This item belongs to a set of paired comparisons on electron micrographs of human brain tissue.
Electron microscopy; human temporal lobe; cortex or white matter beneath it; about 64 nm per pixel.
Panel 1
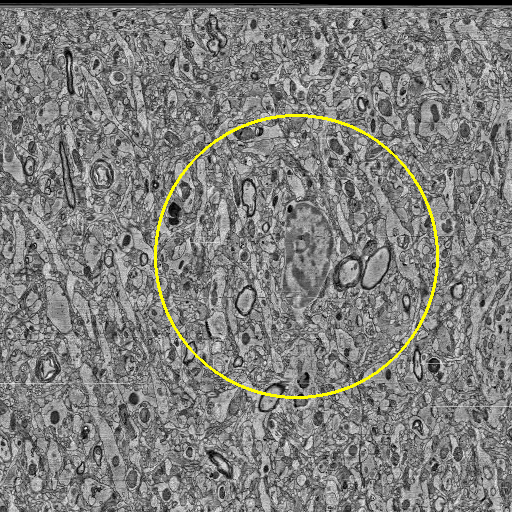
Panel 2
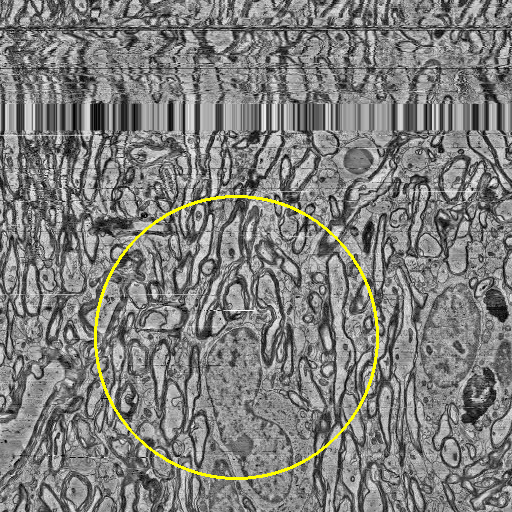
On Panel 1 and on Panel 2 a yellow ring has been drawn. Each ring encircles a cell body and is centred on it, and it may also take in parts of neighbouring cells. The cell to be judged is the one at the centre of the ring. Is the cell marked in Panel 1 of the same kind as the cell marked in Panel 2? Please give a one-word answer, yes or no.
yes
